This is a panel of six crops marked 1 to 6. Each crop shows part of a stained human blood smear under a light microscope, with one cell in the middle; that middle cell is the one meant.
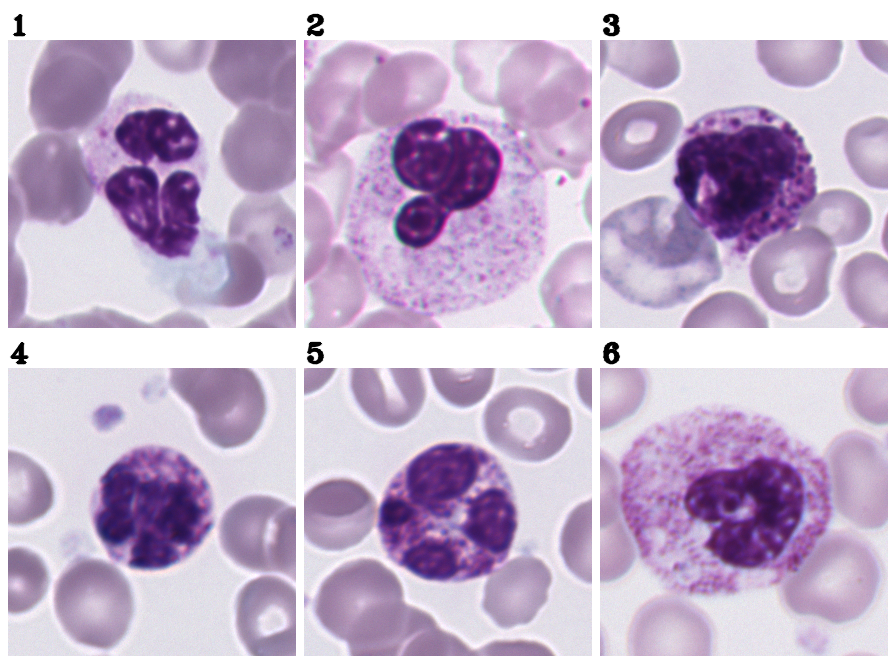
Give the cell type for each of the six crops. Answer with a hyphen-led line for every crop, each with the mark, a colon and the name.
- 1: segmented neutrophil
- 2: segmented neutrophil
- 3: basophil
- 4: basophil
- 5: basophil
- 6: segmented neutrophil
